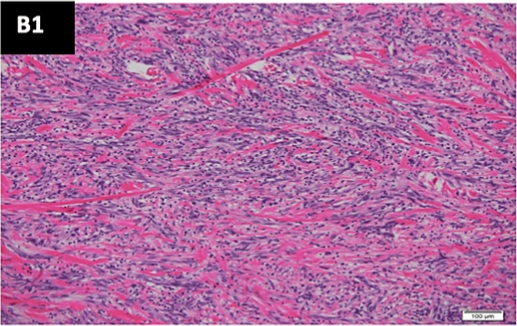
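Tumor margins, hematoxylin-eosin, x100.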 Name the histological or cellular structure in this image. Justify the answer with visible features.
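Bright pink, elongated eosinophilic bands run through the field. The bands lie between densely packed cells with dark elongated nuclei.
Thick collagen bundles.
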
